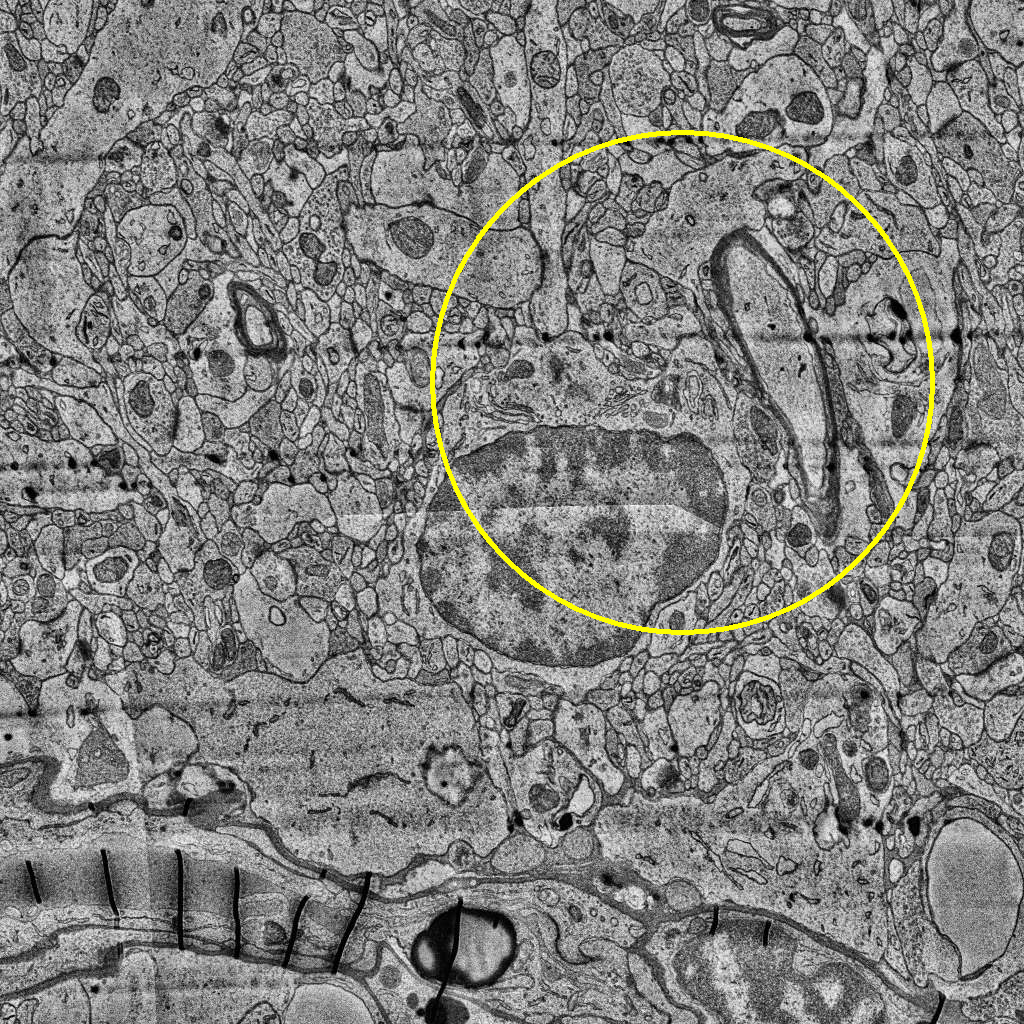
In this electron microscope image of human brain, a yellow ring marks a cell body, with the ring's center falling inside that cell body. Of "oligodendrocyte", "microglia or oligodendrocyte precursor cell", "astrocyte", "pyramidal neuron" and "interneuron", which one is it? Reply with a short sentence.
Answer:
It is a microglial cell or oligodendrocyte precursor cell at the center of the ring.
